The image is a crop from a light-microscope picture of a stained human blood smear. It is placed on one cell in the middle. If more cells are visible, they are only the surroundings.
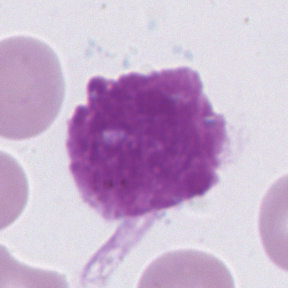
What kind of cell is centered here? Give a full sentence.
The center cell of this crop is a smudge cell.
